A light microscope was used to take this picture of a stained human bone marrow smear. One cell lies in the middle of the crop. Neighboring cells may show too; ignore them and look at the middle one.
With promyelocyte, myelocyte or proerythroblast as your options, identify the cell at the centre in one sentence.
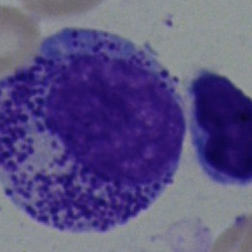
Positioned in the middle of the crop is a myelocyte.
